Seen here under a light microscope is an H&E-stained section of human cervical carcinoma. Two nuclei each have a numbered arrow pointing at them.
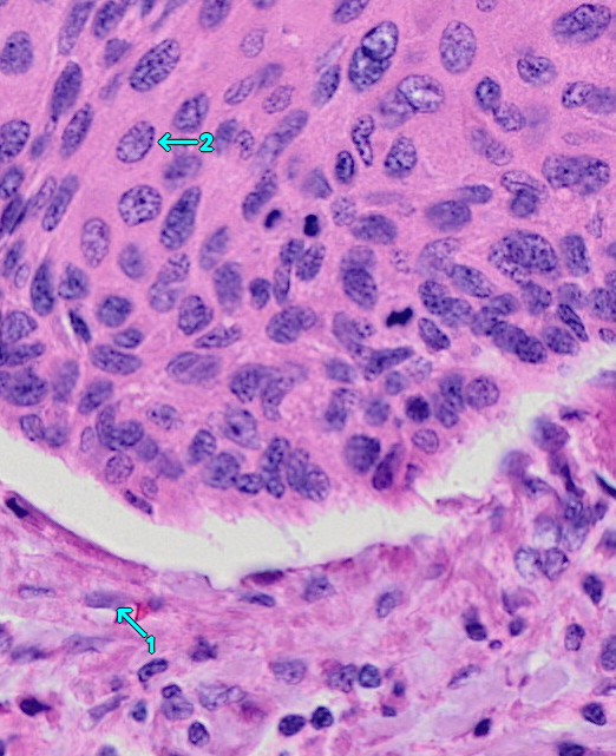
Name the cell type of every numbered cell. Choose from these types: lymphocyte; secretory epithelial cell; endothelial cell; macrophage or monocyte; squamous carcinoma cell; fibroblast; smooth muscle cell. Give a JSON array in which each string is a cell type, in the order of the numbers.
["endothelial cell", "squamous carcinoma cell"]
